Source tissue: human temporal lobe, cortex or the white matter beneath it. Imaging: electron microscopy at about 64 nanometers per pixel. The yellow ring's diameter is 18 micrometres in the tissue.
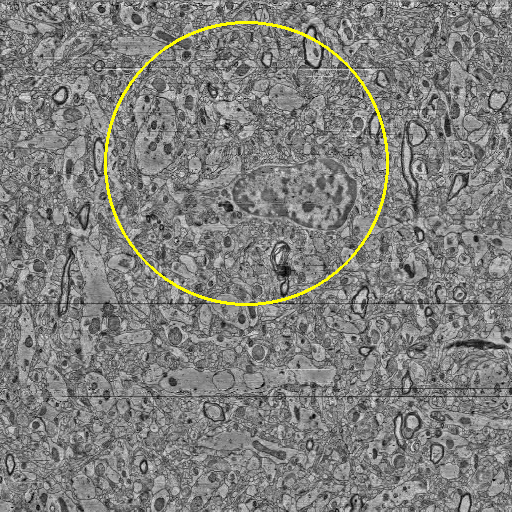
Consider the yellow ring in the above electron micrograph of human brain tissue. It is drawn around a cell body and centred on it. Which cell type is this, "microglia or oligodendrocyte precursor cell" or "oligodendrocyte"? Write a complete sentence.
The cell in question is a microglial cell or oligodendrocyte precursor cell.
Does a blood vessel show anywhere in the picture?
No, none appears.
